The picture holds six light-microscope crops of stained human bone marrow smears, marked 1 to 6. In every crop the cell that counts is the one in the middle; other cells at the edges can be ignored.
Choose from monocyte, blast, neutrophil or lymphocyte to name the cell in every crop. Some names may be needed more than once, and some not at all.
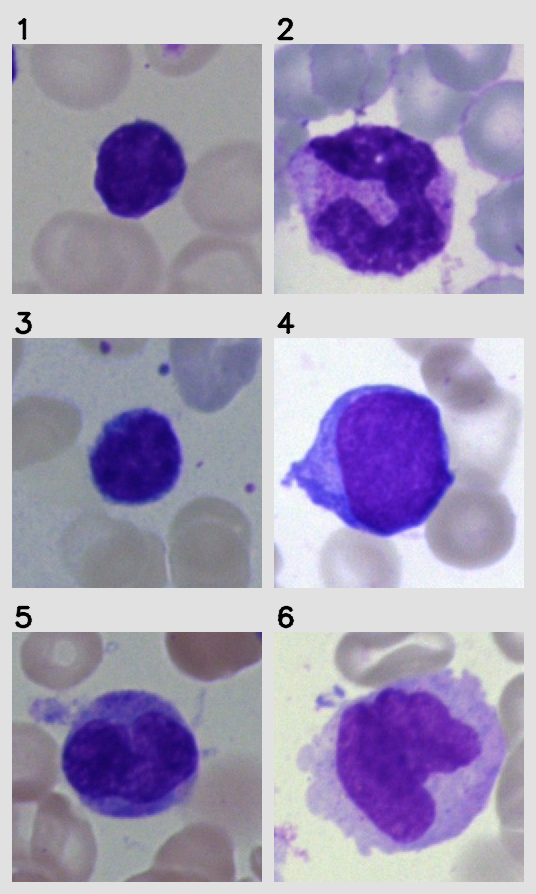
1: lymphocyte
2: neutrophil
3: lymphocyte
4: blast
5: monocyte
6: monocyte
